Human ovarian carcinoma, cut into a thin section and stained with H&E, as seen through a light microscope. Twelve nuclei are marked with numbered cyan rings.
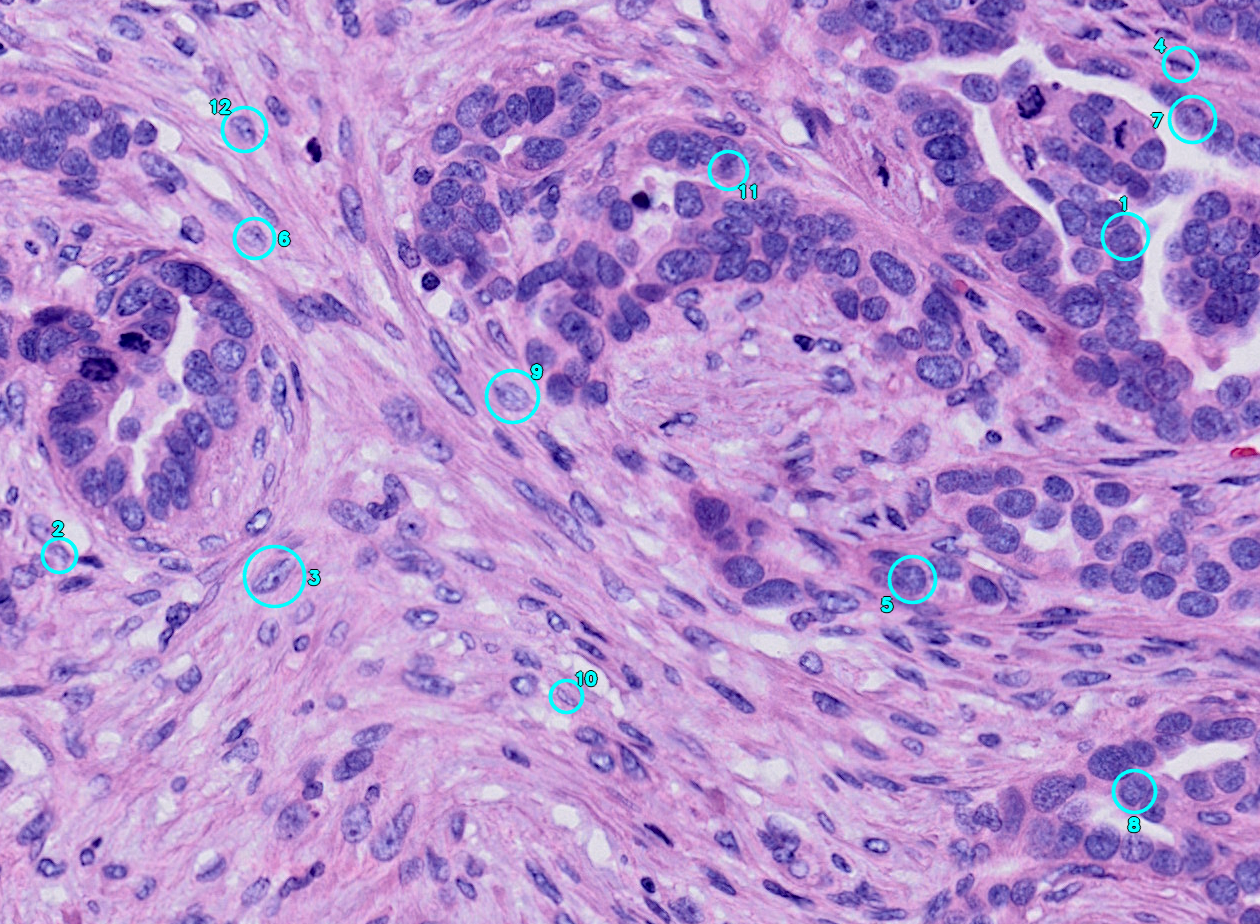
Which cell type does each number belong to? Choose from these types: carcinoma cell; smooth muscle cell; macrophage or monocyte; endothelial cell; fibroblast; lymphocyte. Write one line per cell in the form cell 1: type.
cell 1: carcinoma cell
cell 2: fibroblast
cell 3: fibroblast
cell 4: fibroblast
cell 5: carcinoma cell
cell 6: fibroblast
cell 7: carcinoma cell
cell 8: carcinoma cell
cell 9: fibroblast
cell 10: fibroblast
cell 11: carcinoma cell
cell 12: fibroblast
